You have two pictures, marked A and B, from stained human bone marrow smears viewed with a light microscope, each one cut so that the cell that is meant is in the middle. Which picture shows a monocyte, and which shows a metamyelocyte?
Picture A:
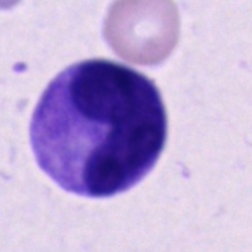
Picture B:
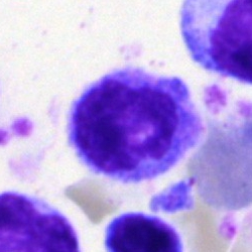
A: metamyelocyte
B: monocyte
